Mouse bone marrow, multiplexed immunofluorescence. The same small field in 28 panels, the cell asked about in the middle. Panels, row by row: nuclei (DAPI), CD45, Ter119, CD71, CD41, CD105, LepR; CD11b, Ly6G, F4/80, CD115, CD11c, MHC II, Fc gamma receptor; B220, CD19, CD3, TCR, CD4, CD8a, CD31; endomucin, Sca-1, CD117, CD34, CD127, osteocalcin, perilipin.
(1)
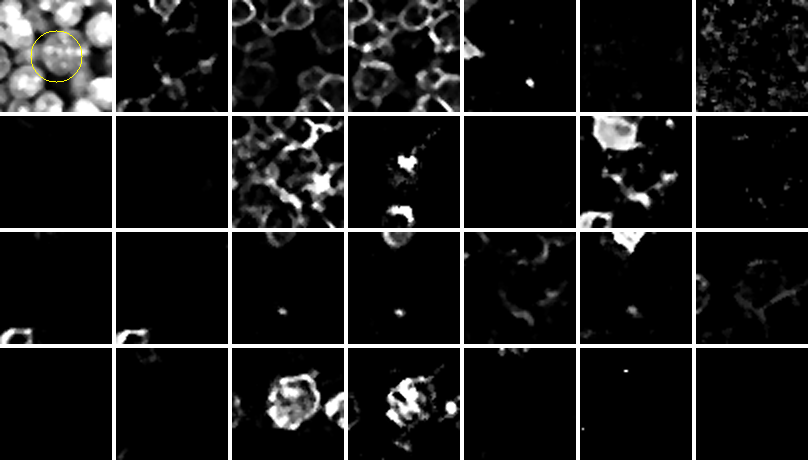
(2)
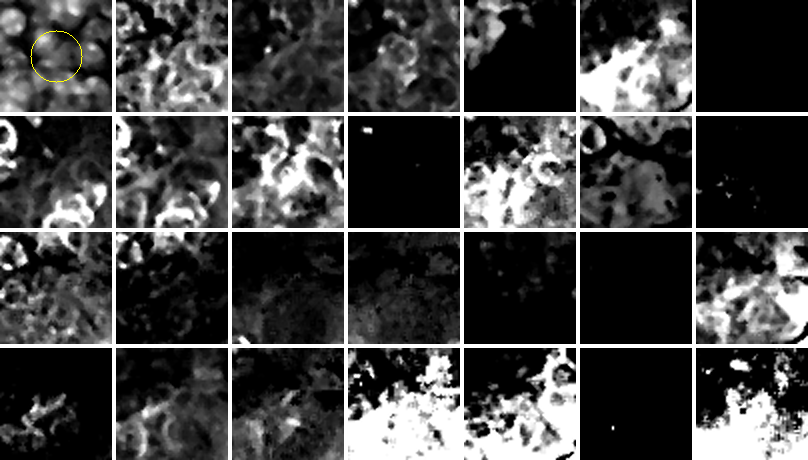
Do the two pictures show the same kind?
No: a common myeloid progenitor, then an erythroid progenitor (CFU-E).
